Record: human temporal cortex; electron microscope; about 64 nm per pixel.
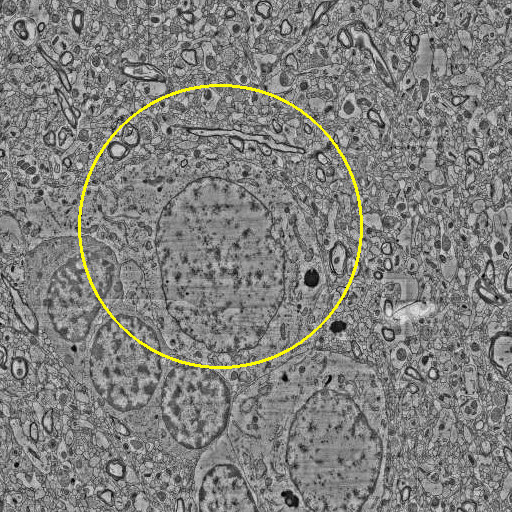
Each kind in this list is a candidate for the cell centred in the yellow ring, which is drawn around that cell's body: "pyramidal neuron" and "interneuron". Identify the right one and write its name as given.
pyramidal neuron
